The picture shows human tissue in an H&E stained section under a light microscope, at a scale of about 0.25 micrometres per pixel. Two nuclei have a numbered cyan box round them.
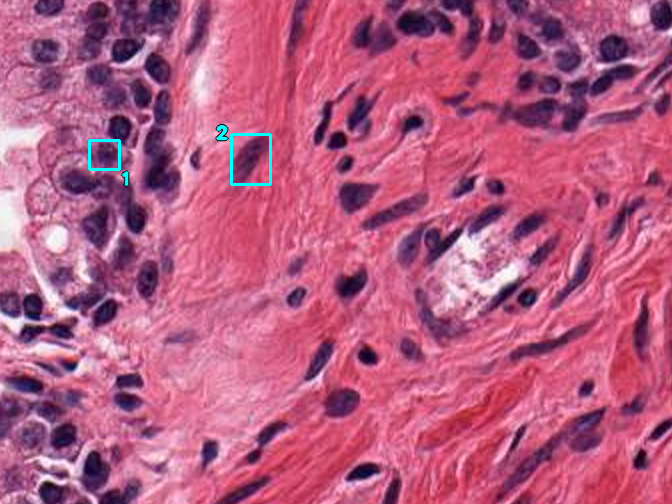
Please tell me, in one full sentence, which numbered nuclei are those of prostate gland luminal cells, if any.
Nucleus 1 lies in a prostate gland luminal cell, and no other numbered nucleus does.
